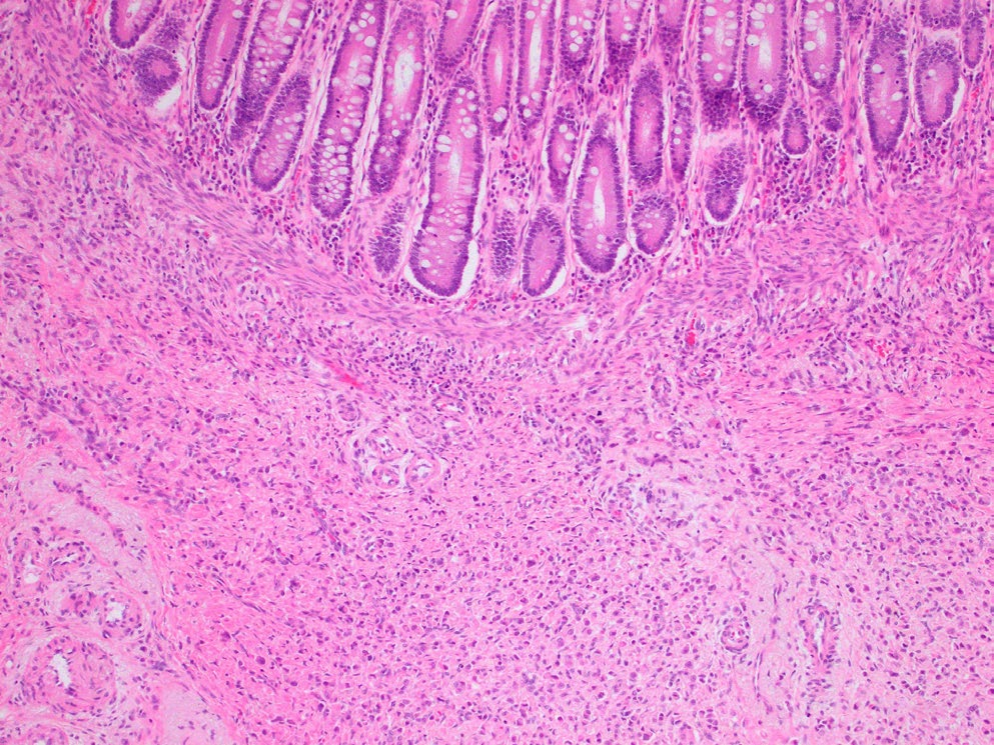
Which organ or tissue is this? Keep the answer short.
Bowel mucosa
